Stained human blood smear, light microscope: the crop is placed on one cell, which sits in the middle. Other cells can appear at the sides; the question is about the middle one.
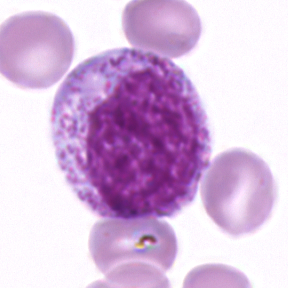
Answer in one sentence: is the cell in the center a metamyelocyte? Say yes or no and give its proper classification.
No, in this crop the central cell is a myelocyte instead of a metamyelocyte.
